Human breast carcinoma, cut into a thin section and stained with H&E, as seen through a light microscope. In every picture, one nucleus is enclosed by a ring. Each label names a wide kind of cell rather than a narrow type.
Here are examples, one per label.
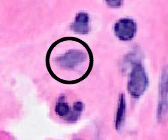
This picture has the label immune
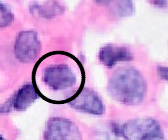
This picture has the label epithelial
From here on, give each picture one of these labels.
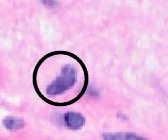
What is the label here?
immune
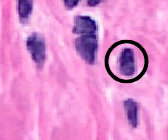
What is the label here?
immune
